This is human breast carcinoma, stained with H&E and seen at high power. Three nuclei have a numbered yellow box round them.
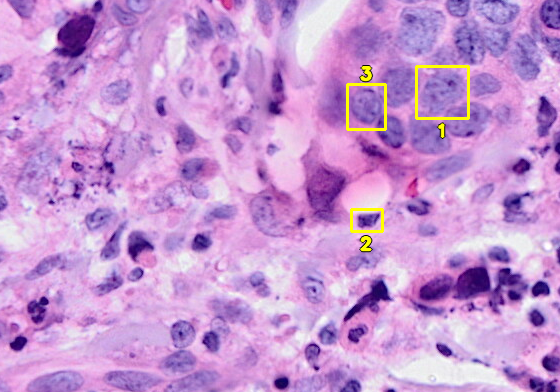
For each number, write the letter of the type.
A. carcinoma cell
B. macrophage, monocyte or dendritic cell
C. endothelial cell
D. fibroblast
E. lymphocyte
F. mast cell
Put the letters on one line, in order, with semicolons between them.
A; E; A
